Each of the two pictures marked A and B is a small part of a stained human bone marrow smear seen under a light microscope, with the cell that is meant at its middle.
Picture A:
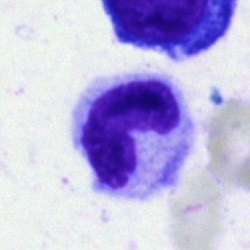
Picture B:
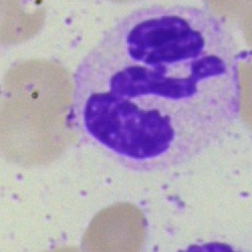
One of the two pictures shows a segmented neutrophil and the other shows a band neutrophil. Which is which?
A: band neutrophil
B: segmented neutrophil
